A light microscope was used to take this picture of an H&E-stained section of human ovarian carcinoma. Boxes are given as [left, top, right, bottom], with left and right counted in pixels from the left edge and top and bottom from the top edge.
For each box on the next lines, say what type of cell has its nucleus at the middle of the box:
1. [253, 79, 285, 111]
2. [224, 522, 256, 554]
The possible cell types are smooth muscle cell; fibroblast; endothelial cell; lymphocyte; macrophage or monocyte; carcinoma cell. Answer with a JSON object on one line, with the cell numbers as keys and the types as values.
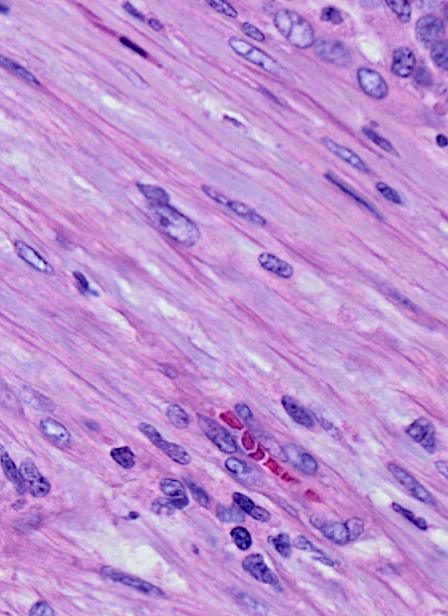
{"1": "fibroblast", "2": "lymphocyte"}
